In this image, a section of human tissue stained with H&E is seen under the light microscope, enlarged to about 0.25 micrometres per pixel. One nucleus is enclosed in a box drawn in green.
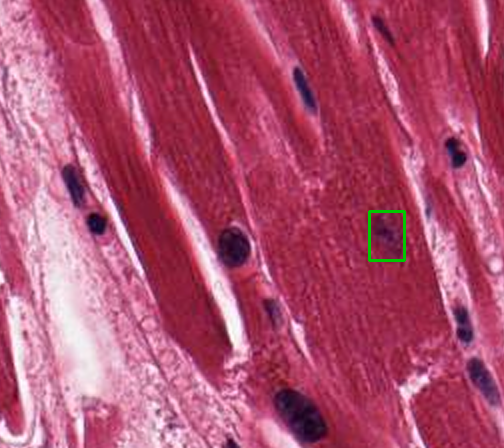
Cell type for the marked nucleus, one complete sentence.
The marked nucleus is recognized as the nucleus of a cardiomyocyte.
